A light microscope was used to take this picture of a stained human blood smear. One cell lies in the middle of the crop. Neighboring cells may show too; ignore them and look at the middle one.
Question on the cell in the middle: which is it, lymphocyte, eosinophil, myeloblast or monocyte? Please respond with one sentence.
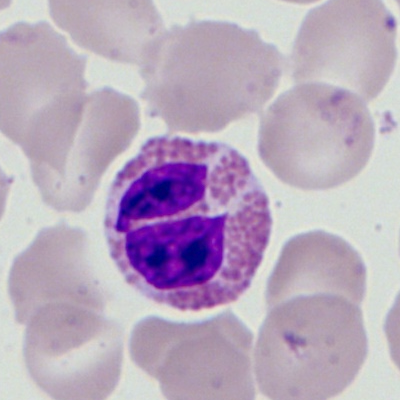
By type, the central cell of the crop is an eosinophil.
